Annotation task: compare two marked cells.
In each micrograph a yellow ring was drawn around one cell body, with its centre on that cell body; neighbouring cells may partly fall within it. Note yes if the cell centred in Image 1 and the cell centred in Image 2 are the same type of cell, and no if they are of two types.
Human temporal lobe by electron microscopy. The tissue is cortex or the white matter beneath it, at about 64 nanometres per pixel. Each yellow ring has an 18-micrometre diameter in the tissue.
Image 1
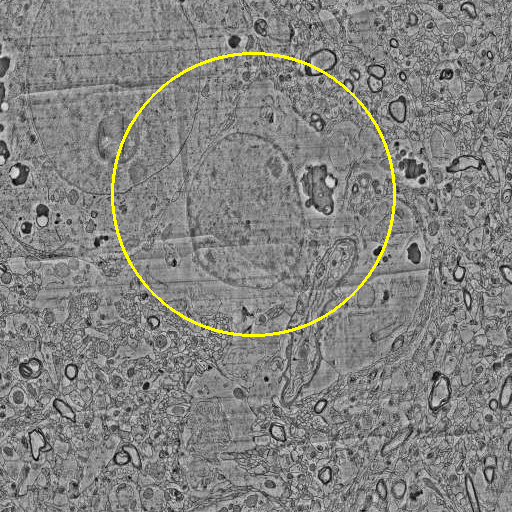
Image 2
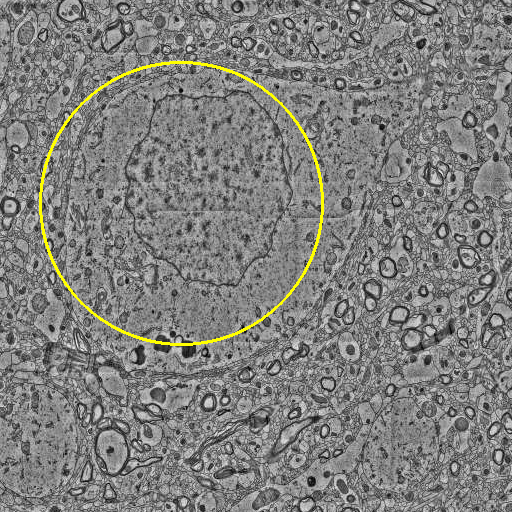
no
